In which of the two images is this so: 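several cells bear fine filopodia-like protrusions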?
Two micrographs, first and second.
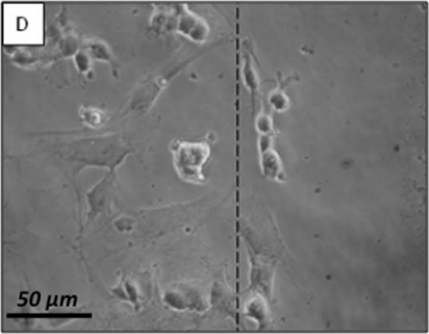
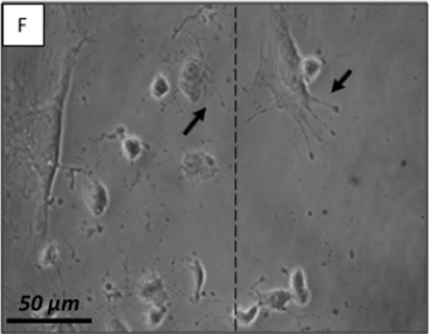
the second image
